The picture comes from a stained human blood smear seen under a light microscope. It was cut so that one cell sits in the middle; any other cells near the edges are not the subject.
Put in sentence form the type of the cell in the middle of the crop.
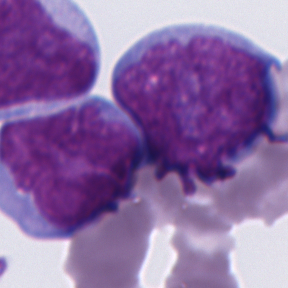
The cell that lies at the centre of the crop is a myeloblast.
